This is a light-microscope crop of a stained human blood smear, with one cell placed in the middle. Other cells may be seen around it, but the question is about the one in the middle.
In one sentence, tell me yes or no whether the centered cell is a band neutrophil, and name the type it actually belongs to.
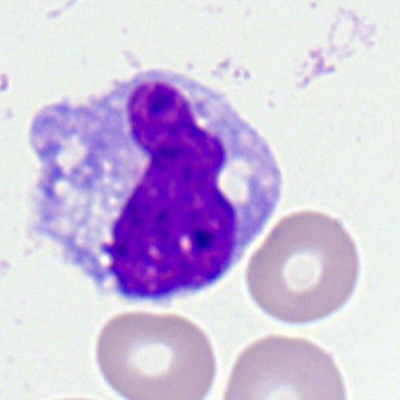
No, the centre of the crop contains a monocyte rather than a band neutrophil.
